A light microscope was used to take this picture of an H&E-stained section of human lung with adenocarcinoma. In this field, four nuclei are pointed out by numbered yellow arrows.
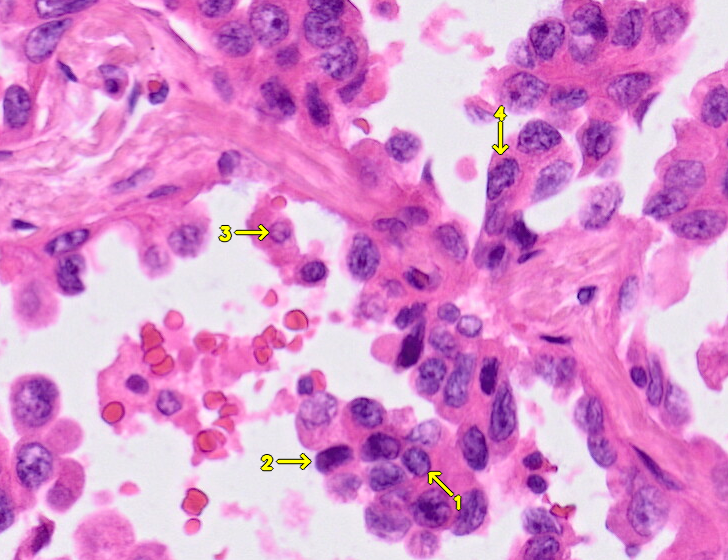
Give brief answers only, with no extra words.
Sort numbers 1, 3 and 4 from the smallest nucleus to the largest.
3, 1, 4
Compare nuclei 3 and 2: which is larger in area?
2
